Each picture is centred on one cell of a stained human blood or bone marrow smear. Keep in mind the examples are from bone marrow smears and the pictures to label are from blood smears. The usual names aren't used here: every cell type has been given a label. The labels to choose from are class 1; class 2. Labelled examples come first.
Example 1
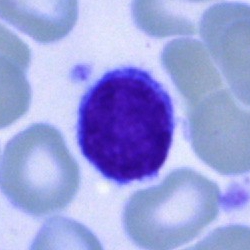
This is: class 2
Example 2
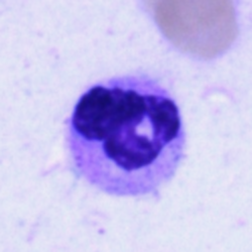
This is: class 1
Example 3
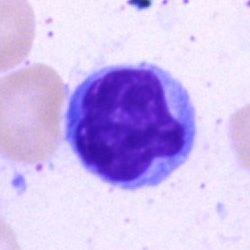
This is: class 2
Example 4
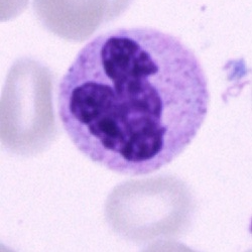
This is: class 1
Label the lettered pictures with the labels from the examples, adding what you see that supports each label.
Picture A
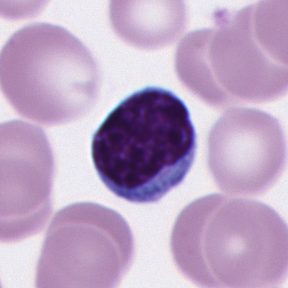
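Label: class 2. The cytoplasm forms a narrow pale blue crescent along the lower right edge of the cell.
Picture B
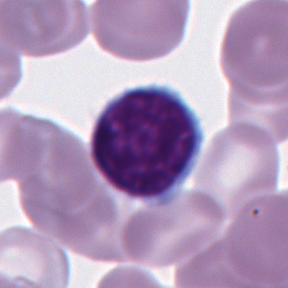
Label: class 2. The cytoplasm is only a very thin rim around the nucleus.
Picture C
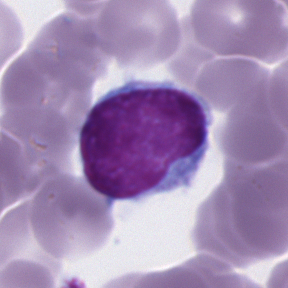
Label: class 2. The nucleus fills most of the cell.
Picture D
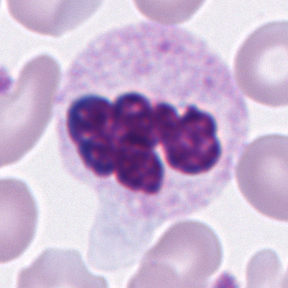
Label: class 1. The cytoplasm is abundant and pale pinkish-lilac.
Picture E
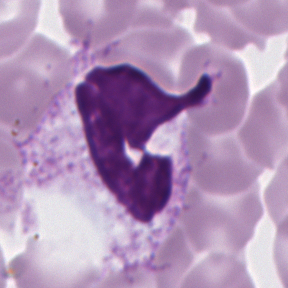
Label: class 1. The cytoplasm is abundant and very pale, almost colourless.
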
